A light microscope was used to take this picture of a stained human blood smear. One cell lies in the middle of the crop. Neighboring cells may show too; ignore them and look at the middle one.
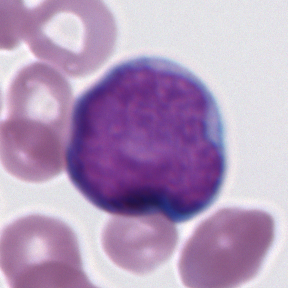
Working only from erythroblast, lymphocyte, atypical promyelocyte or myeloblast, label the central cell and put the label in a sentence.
The cell occupying the middle of the crop is a myeloblast.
